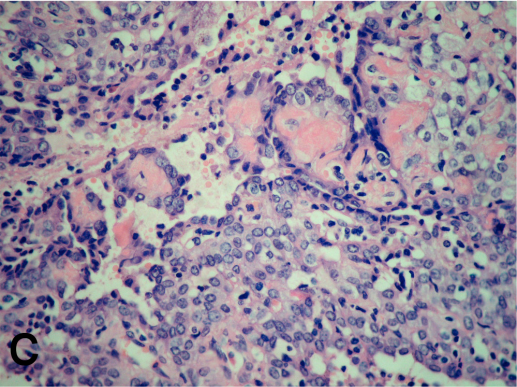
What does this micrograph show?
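Tumor area with a papillary pattern. Papillae have cores of homogeneous, glassy pink hyalinized material, each rimmed by a layer of surface cuboidal cells with dark nuclei. Around and beneath them lie sheets of round cells with round, even nuclei and pale cytoplasm. Small dark inflammatory-looking nuclei and a few red blood cells are scattered in the loose tissue between the structures.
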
